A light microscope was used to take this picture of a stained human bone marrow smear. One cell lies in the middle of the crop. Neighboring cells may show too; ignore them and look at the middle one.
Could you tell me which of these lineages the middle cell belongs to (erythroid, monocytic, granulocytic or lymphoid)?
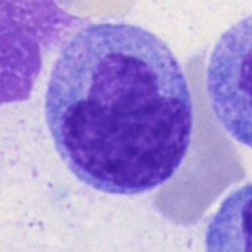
monocytic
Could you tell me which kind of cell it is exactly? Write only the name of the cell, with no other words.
monocyte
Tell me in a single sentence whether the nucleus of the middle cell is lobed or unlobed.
The nuclear material is gathered into one compact round, oval or kidney-shaped mass.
